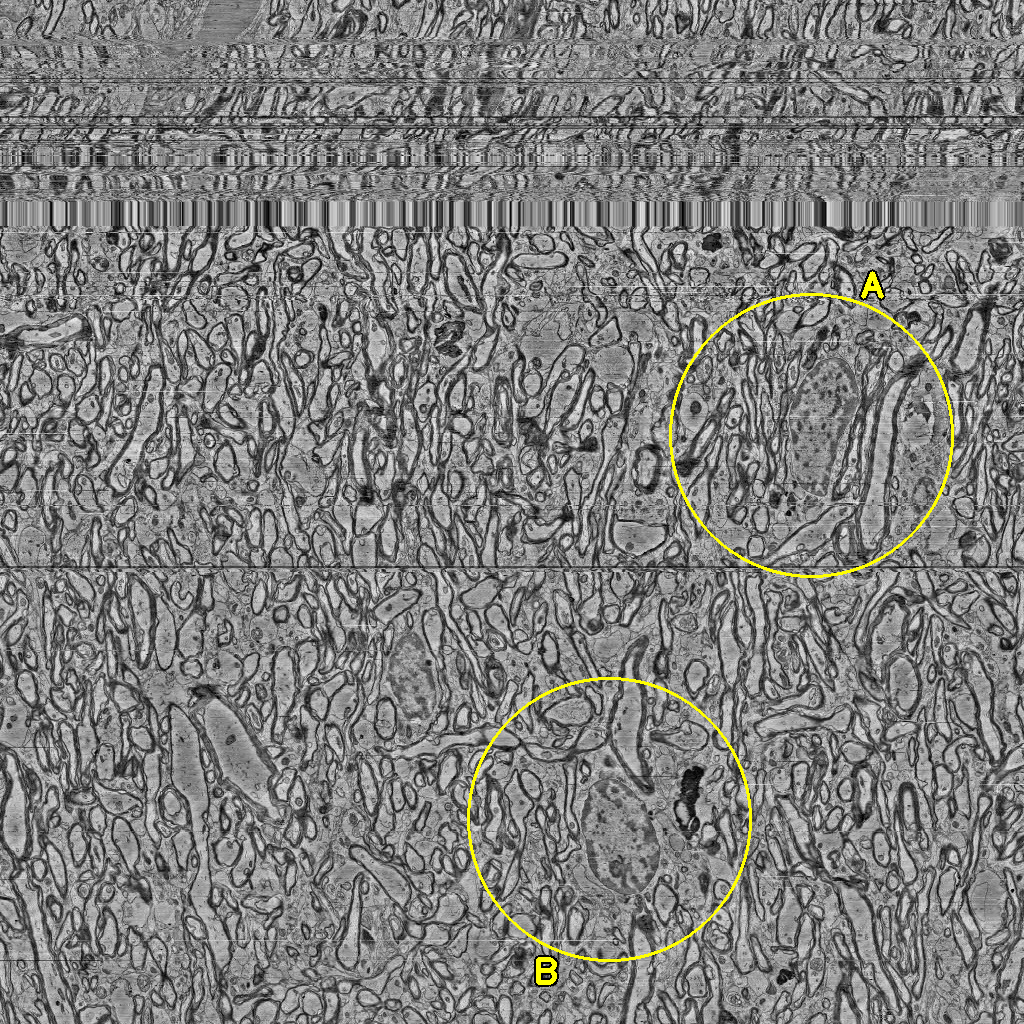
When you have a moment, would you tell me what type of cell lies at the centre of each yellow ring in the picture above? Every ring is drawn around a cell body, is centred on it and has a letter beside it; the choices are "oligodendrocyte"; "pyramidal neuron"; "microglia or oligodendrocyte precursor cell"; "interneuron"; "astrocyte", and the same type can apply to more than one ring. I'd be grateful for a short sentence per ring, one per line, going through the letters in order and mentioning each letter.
The cell at the centre of ring A is a microglial cell or oligodendrocyte precursor cell.
The cell at the centre of ring B is a microglial cell or oligodendrocyte precursor cell.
